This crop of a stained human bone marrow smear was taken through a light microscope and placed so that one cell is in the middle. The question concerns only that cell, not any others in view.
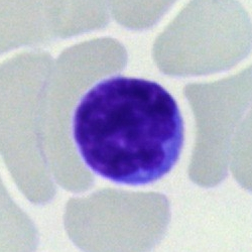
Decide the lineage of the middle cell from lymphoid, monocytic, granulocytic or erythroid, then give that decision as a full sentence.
Belonging to the lymphoid lineage is the cell positioned in the middle.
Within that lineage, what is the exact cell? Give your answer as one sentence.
Within this crop, a lymphocyte occupies the central position.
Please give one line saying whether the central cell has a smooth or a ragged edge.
There are no projections here; the outline is simply smooth.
